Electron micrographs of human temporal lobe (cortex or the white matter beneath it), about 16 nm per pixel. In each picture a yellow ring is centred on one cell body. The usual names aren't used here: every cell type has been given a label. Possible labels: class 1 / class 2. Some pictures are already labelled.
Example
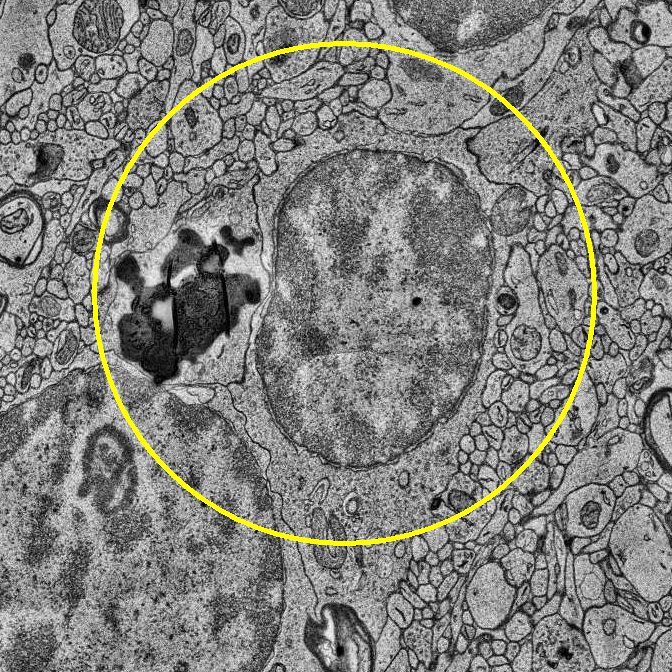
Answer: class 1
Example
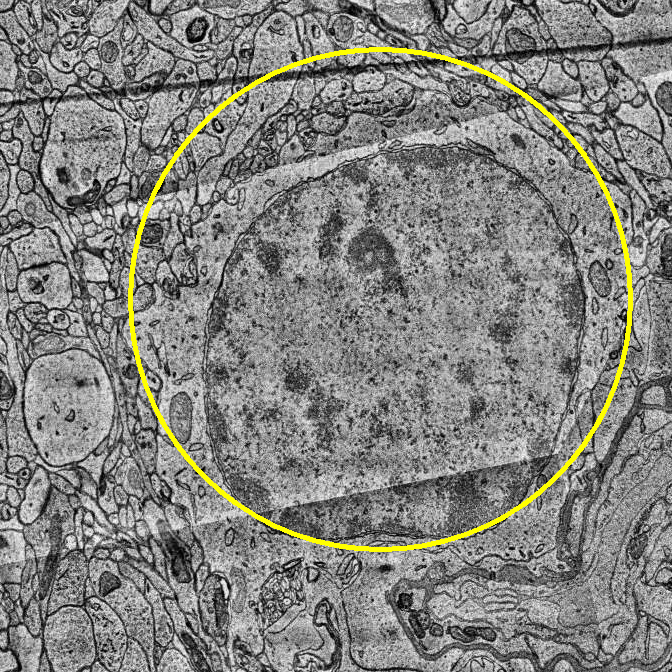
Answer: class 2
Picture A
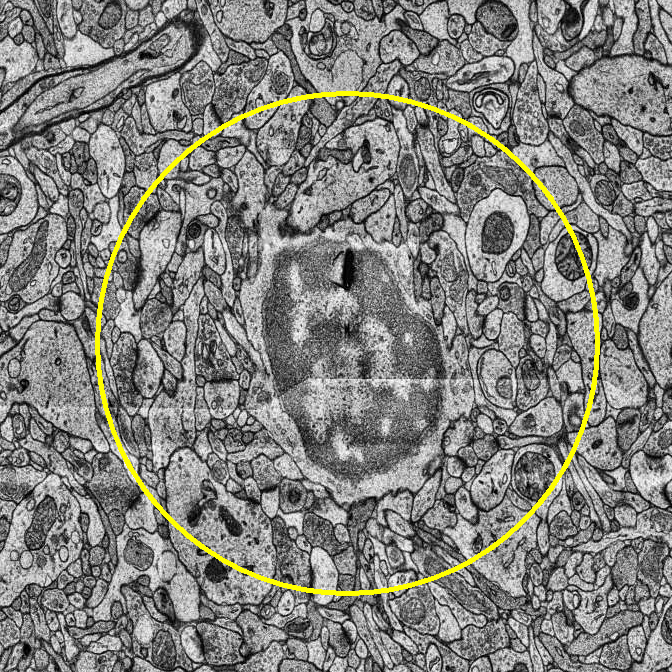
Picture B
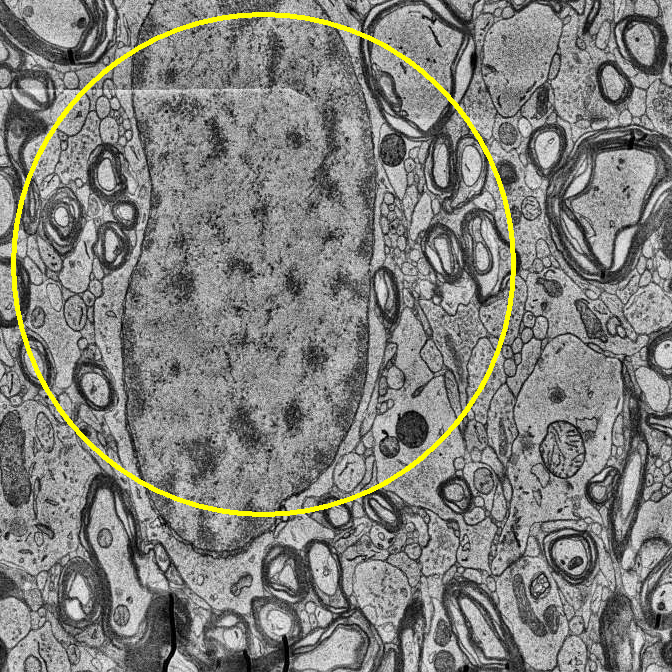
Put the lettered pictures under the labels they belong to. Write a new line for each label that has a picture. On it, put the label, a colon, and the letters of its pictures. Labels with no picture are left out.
class 2: A, B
